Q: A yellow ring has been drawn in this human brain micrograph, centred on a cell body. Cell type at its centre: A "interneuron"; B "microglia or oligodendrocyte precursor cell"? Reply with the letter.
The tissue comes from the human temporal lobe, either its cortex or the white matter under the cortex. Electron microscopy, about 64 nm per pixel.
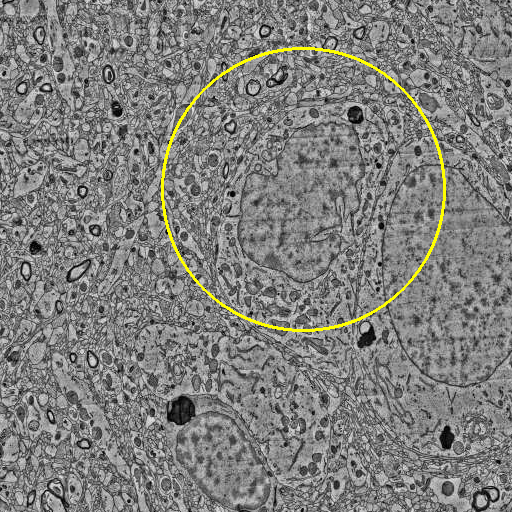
A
